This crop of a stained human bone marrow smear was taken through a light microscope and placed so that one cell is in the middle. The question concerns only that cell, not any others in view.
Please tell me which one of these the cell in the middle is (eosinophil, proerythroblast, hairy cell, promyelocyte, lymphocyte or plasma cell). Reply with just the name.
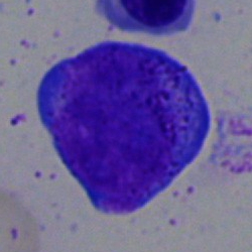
promyelocyte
